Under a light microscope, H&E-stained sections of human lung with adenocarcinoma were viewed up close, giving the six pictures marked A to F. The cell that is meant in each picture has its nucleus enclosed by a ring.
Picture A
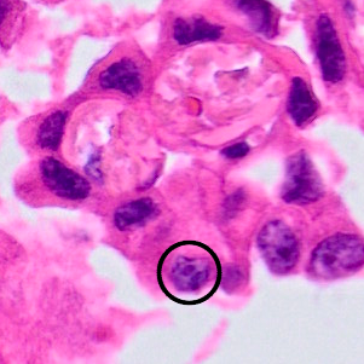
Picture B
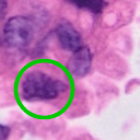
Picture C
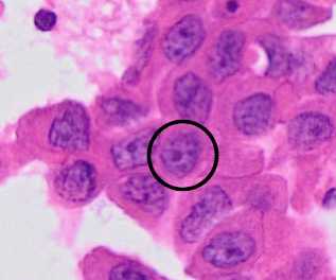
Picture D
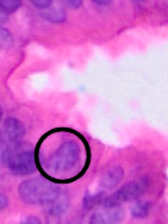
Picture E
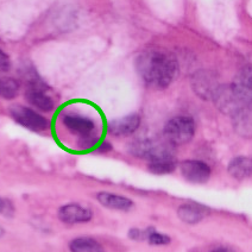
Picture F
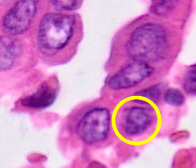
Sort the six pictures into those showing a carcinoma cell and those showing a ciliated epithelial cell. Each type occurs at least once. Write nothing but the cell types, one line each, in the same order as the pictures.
carcinoma cell
carcinoma cell
carcinoma cell
ciliated epithelial cell
ciliated epithelial cell
carcinoma cell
